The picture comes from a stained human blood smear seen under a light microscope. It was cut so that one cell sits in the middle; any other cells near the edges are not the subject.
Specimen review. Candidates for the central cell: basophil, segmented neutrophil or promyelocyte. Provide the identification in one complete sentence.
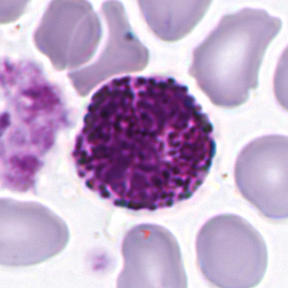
The cell sitting right in the middle is a basophil.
